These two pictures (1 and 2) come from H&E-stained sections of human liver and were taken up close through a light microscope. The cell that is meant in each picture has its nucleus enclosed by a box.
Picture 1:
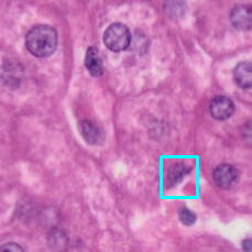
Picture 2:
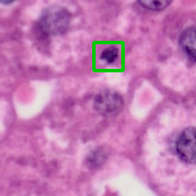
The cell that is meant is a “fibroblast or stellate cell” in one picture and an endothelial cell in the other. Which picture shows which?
1: endothelial cell
2: fibroblast or stellate cell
